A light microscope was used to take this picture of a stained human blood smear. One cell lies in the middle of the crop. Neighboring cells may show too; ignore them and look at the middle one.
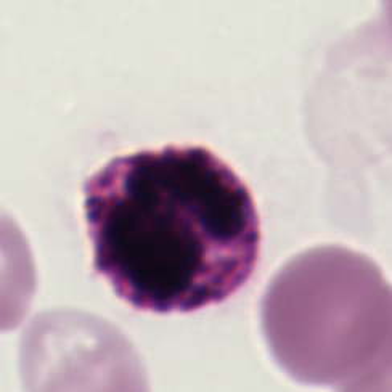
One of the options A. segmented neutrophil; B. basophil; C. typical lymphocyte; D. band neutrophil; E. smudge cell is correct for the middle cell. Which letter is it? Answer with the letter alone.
B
